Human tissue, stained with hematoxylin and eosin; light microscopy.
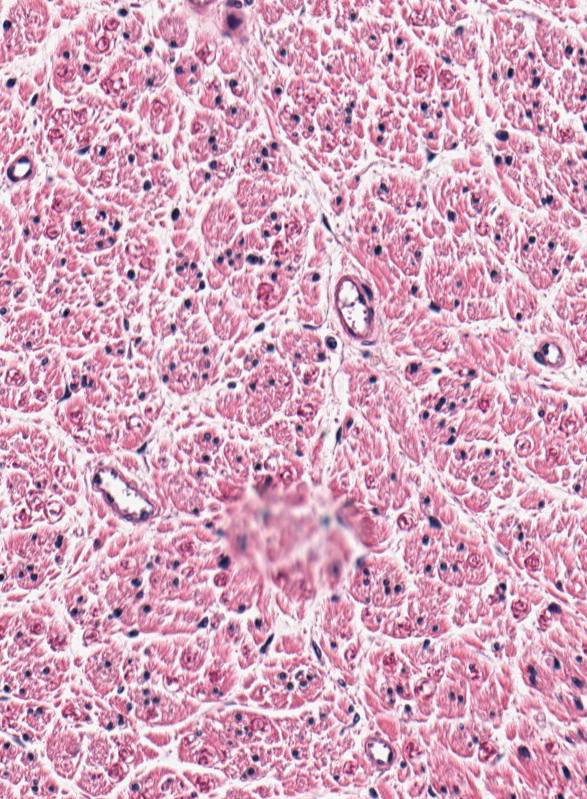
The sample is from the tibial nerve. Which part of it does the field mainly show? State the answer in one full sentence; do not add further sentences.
The subject of this tissue section is the part called nerve fascicle.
